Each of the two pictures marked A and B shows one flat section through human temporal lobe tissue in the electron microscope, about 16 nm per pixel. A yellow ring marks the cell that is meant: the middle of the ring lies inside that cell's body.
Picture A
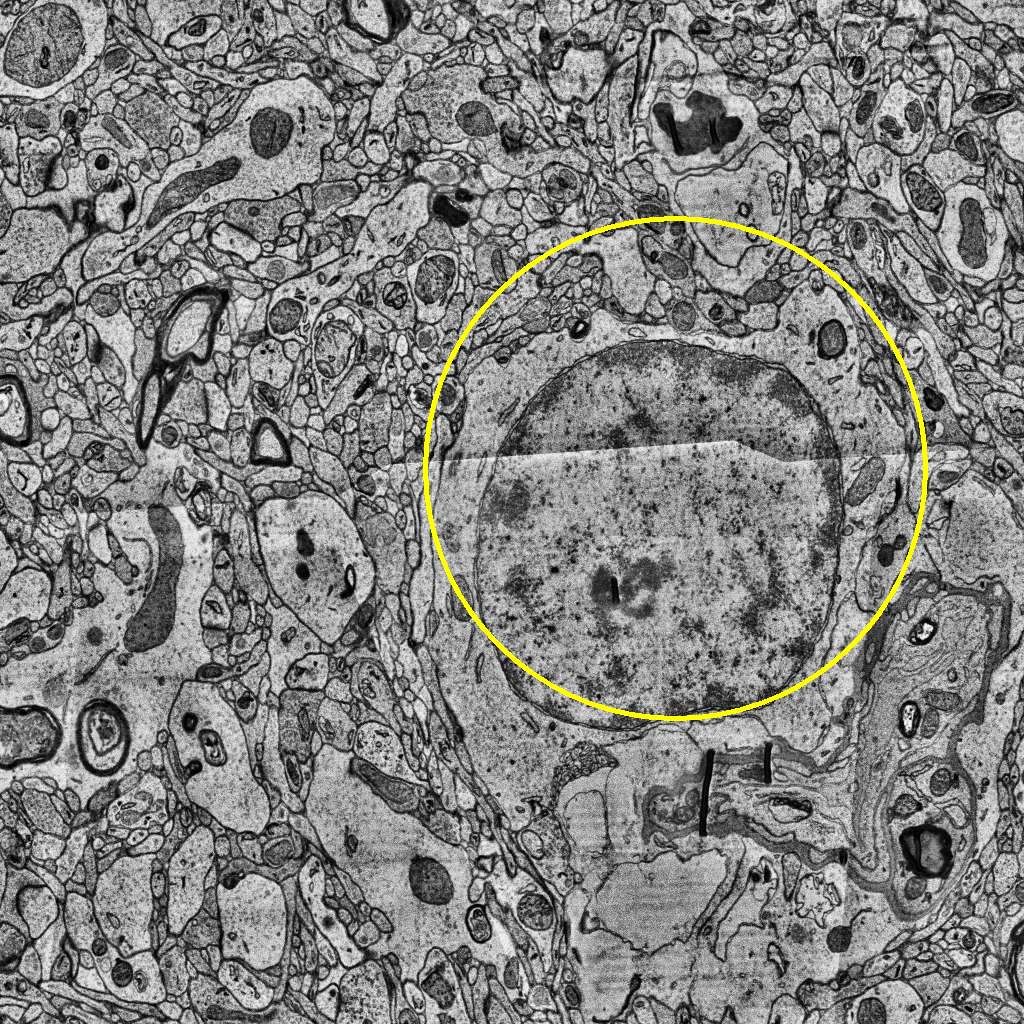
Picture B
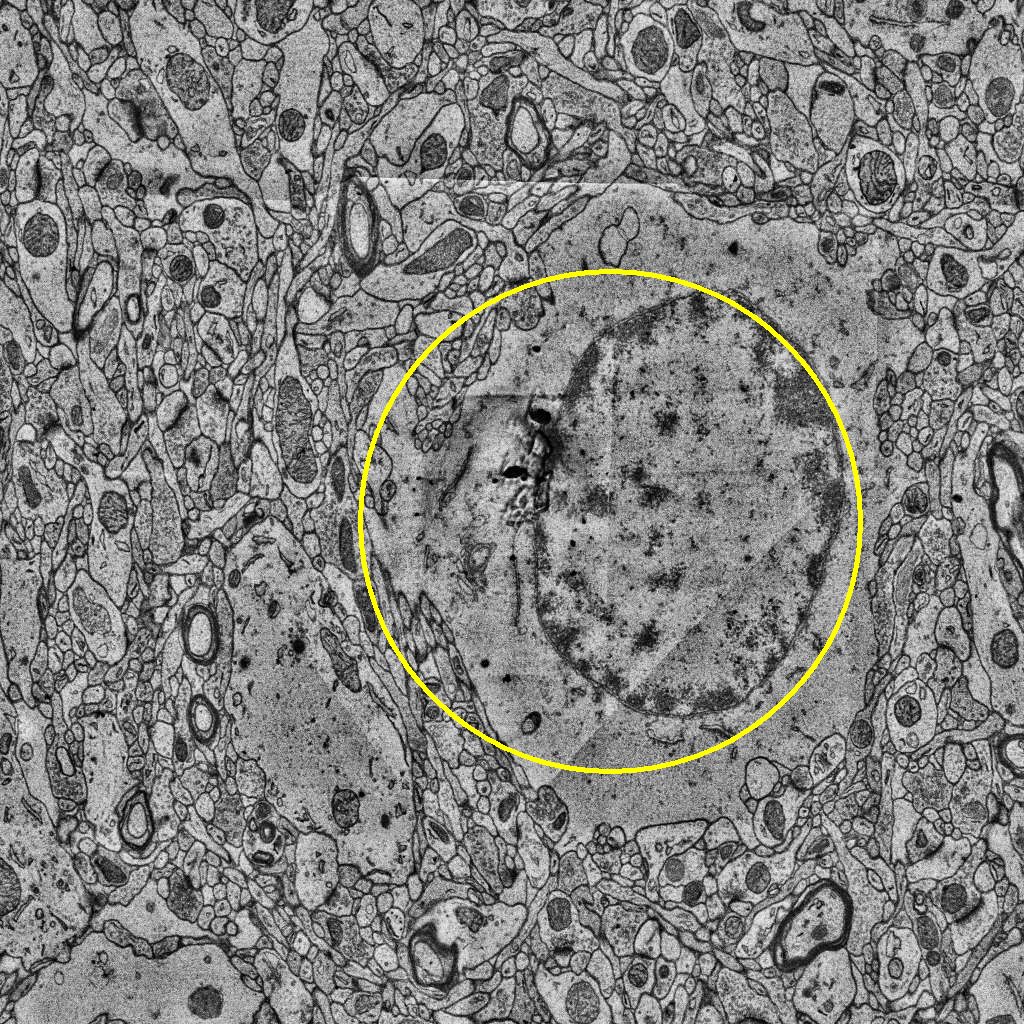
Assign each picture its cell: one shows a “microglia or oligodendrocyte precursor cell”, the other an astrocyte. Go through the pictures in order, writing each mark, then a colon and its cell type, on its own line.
A: microglia or oligodendrocyte precursor cell
B: astrocyte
